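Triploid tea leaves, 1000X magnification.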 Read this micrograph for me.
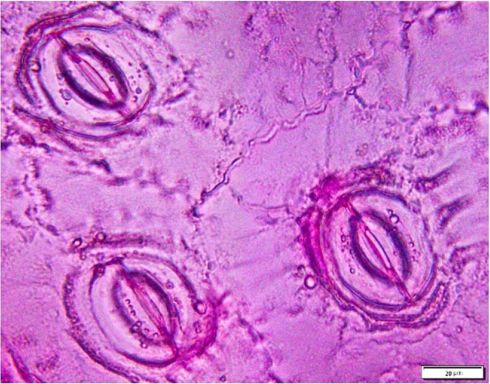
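Leaf epidermis with a few large stomata, each made of two curved guard cells around a central slit-like pore, outlined by thick concentric pink-purple rims. The surrounding epidermal cells have thin, wavy walls, and the stomata lie well apart from one another.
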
